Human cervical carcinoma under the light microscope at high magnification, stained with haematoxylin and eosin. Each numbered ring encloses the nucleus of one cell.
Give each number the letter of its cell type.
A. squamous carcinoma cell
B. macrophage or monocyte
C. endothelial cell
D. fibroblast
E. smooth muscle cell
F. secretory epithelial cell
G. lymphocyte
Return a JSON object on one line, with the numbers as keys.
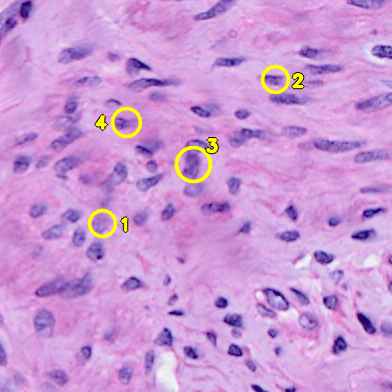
{"1": "E", "2": "D", "3": "E", "4": "E"}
